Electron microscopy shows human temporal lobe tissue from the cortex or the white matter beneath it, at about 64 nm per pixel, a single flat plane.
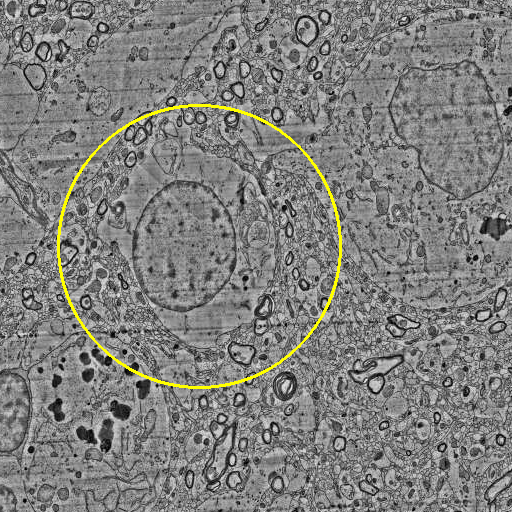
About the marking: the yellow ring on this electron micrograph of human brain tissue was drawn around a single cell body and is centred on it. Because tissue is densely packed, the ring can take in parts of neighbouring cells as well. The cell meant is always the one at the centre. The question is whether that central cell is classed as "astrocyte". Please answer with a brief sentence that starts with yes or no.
Yes, the central cell is classed that way.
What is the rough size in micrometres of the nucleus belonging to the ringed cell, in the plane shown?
About 8 by 7 micrometers for the nucleus, in this plane.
